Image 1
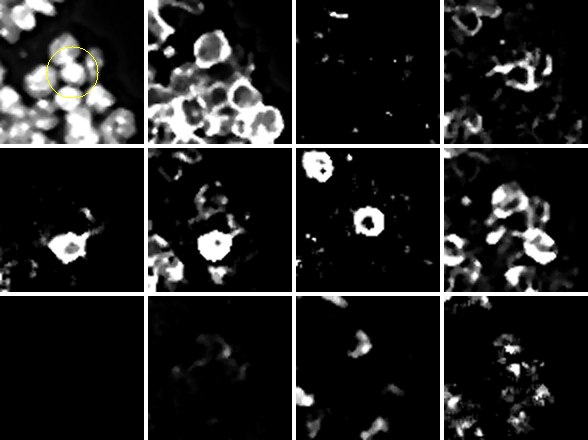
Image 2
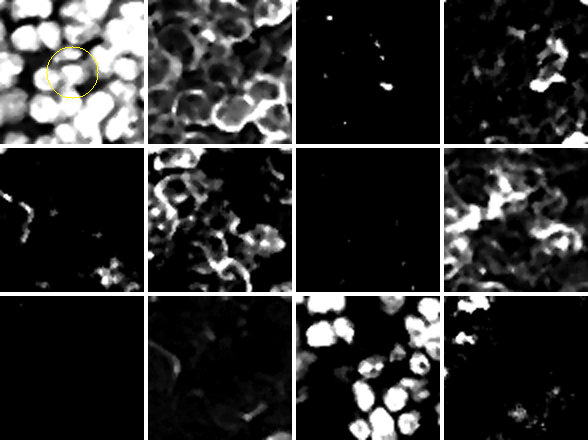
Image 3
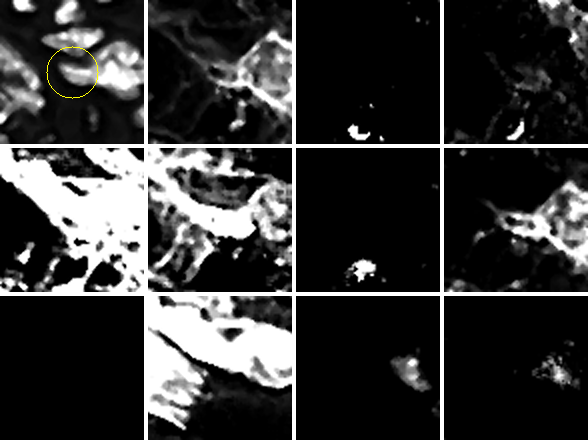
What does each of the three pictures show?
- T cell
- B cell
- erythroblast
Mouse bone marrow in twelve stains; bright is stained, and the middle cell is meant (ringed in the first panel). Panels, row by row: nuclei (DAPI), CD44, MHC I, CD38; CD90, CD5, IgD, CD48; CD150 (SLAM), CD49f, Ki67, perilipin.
(1) B cell
(2) erythroblast
(3) T cell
